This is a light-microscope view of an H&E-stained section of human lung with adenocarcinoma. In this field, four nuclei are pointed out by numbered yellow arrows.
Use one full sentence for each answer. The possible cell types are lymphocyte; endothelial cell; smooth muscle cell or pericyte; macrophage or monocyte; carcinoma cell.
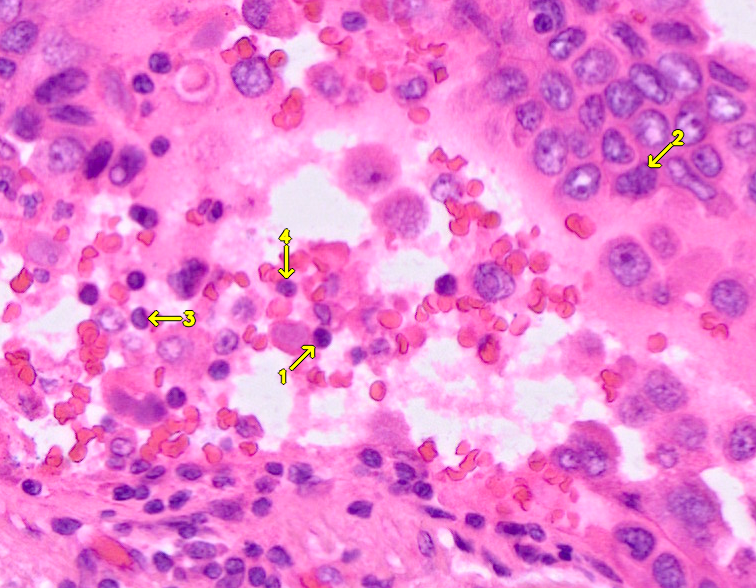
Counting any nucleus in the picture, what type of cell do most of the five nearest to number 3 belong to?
Of the five nuclei nearest to number 3, most belong to macrophages or monocytes.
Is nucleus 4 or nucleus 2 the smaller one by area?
Nucleus 4 covers less area, with nucleus 2 about 3 times as large.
